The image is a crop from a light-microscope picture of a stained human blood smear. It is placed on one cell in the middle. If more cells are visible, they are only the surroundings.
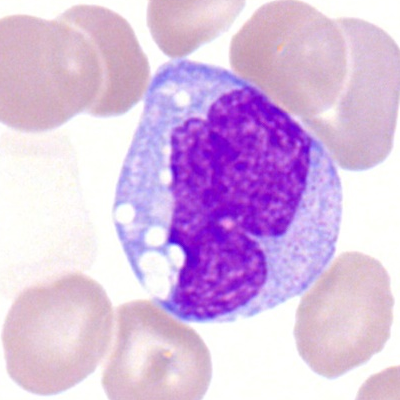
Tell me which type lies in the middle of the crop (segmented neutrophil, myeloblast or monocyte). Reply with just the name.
monocyte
